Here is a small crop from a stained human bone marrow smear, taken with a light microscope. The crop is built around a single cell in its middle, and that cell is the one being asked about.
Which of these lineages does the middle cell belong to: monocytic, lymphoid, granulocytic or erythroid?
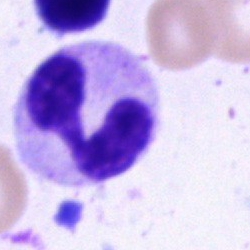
granulocytic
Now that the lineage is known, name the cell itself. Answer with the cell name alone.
segmented neutrophil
